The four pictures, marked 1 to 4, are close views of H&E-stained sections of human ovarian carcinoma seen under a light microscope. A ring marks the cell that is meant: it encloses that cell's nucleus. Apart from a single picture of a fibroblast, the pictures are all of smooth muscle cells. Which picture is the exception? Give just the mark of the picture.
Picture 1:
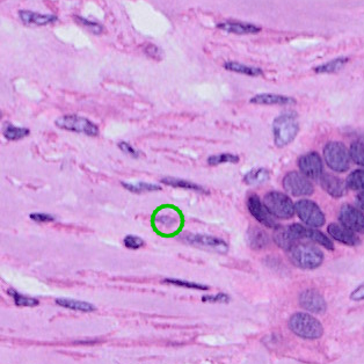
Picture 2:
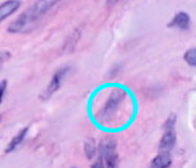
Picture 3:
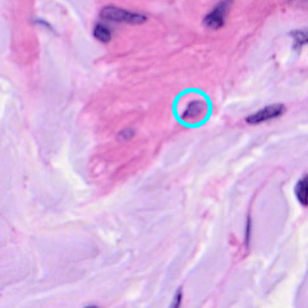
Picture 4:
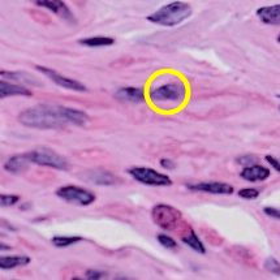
1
